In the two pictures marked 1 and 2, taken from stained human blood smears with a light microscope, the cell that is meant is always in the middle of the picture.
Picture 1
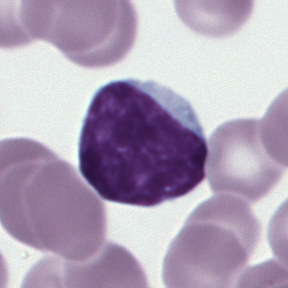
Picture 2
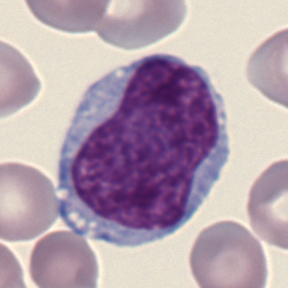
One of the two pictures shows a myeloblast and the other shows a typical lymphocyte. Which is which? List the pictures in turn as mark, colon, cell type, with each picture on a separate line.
1: typical lymphocyte
2: myeloblast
